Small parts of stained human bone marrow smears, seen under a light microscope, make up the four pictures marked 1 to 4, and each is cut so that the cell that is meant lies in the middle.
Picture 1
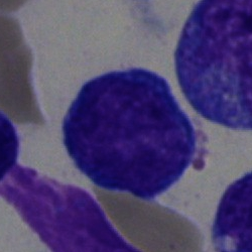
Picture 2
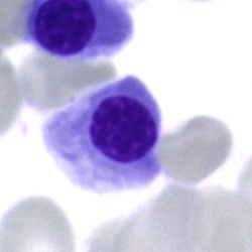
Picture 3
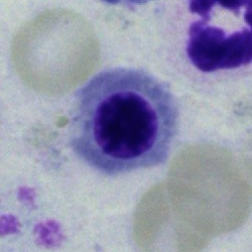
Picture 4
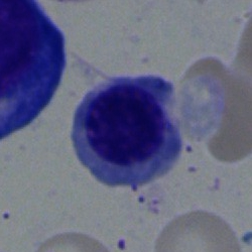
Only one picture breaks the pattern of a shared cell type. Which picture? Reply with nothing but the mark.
1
